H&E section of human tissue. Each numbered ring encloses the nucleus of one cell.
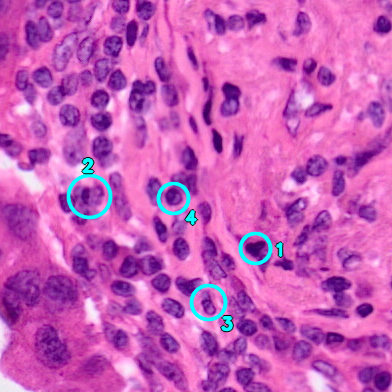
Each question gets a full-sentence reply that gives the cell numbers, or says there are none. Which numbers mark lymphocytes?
The numbers 2, 3 and 4 in this section indicate lymphocytes.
